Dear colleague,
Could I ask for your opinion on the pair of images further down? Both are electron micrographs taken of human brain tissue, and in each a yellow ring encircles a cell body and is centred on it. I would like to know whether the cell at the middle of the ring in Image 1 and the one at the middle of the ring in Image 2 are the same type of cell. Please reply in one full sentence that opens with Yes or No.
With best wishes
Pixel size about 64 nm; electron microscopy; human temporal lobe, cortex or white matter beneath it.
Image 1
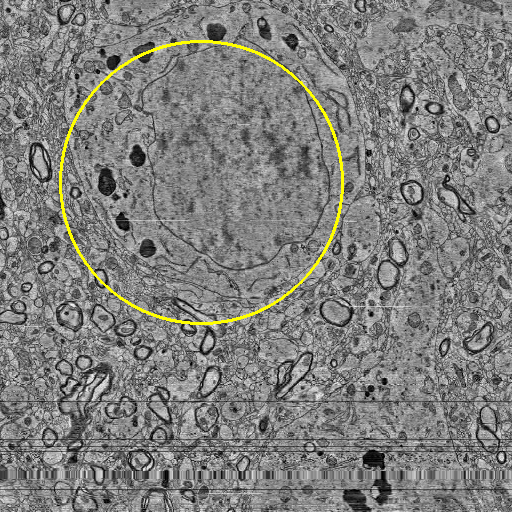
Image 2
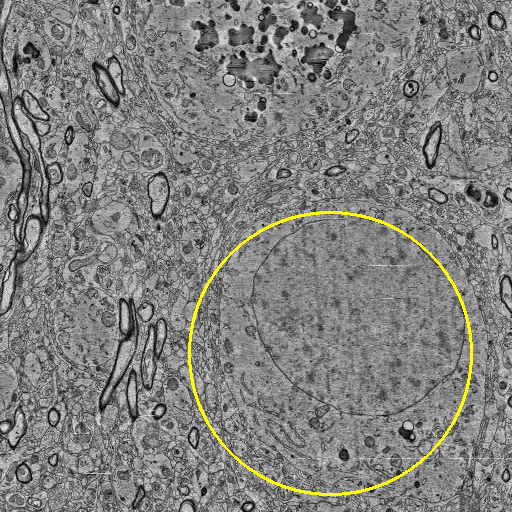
Yes, the cells at the ring centres in Image 1 and Image 2 are of one type.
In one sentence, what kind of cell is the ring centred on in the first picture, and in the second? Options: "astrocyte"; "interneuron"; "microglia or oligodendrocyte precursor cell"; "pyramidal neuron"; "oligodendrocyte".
The second cell is a pyramidal neuron, just as the first is.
